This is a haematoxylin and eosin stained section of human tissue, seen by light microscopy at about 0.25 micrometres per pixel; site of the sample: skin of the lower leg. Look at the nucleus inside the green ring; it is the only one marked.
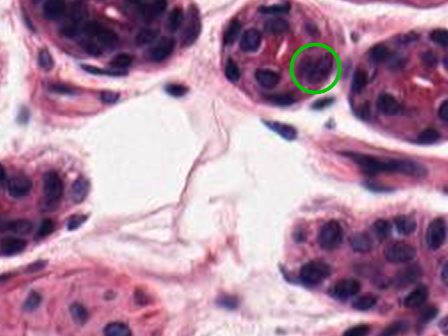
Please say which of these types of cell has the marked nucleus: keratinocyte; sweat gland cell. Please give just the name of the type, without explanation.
sweat gland cell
